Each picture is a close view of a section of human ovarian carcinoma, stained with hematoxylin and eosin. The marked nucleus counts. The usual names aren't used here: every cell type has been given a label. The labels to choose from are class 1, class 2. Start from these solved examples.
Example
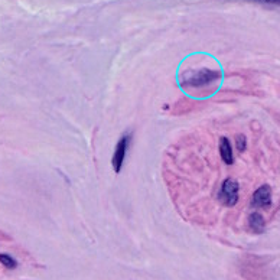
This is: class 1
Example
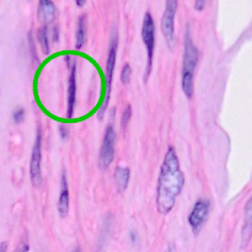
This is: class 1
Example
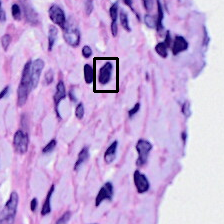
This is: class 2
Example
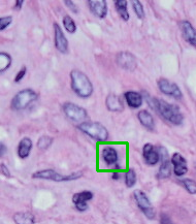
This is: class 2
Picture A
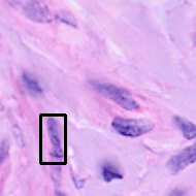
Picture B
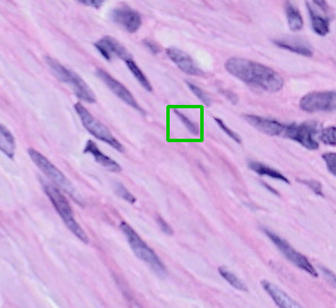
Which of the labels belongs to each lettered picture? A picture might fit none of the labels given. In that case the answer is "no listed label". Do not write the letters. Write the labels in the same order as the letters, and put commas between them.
class 1, class 1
